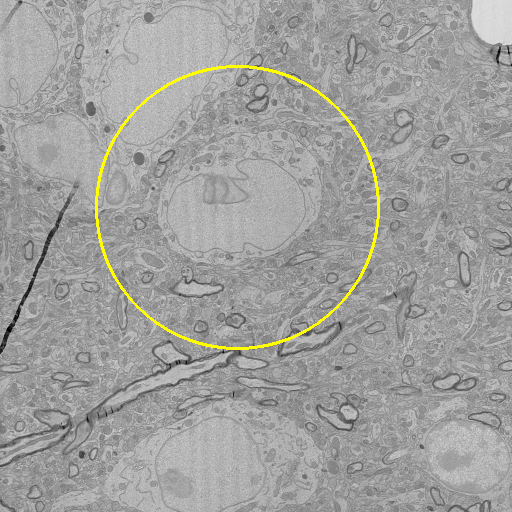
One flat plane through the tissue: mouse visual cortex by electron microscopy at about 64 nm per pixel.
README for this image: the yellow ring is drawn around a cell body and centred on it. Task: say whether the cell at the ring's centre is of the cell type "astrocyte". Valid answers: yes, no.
no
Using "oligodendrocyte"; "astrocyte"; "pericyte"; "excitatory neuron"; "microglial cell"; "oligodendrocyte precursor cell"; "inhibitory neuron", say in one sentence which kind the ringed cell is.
The ringed cell in this picture is, instead, an excitatory neuron.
